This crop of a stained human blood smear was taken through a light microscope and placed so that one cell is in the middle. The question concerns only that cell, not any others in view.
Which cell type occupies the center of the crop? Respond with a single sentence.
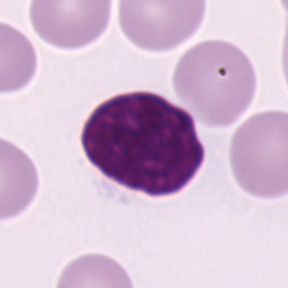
The cell the crop is centered on is a smudge cell.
